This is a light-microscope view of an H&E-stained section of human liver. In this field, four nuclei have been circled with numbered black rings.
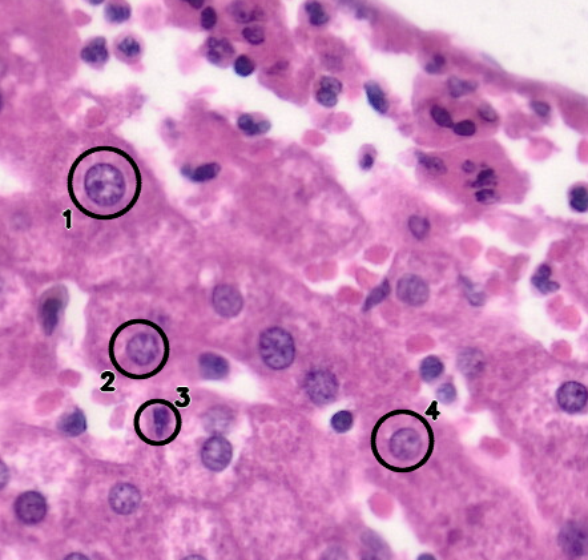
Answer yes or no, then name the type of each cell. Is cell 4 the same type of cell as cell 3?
No, cell number 4 is a hepatocyte, and cell number 3 is a fibroblast or stellate cell.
